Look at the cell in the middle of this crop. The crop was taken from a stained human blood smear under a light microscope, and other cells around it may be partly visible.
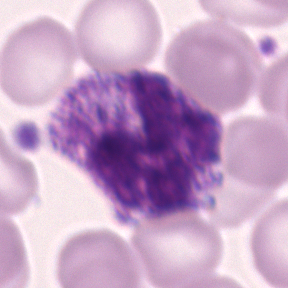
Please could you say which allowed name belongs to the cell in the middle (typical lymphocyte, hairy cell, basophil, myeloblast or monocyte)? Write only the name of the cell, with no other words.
basophil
